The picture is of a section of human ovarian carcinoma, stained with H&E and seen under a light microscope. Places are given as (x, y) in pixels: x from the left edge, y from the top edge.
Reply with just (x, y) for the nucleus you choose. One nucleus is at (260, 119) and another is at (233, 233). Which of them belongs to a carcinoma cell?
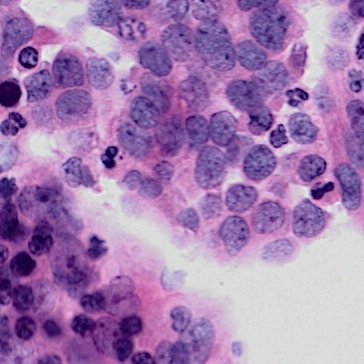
(233, 233)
